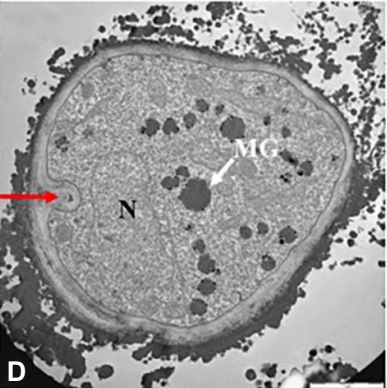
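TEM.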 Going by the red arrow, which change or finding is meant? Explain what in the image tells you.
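The red arrow ends at a small rounded inward fold on the left edge of the cell. The fold lies in the thick layered wall bounding the cell.
Hence: cell wall indentation.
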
